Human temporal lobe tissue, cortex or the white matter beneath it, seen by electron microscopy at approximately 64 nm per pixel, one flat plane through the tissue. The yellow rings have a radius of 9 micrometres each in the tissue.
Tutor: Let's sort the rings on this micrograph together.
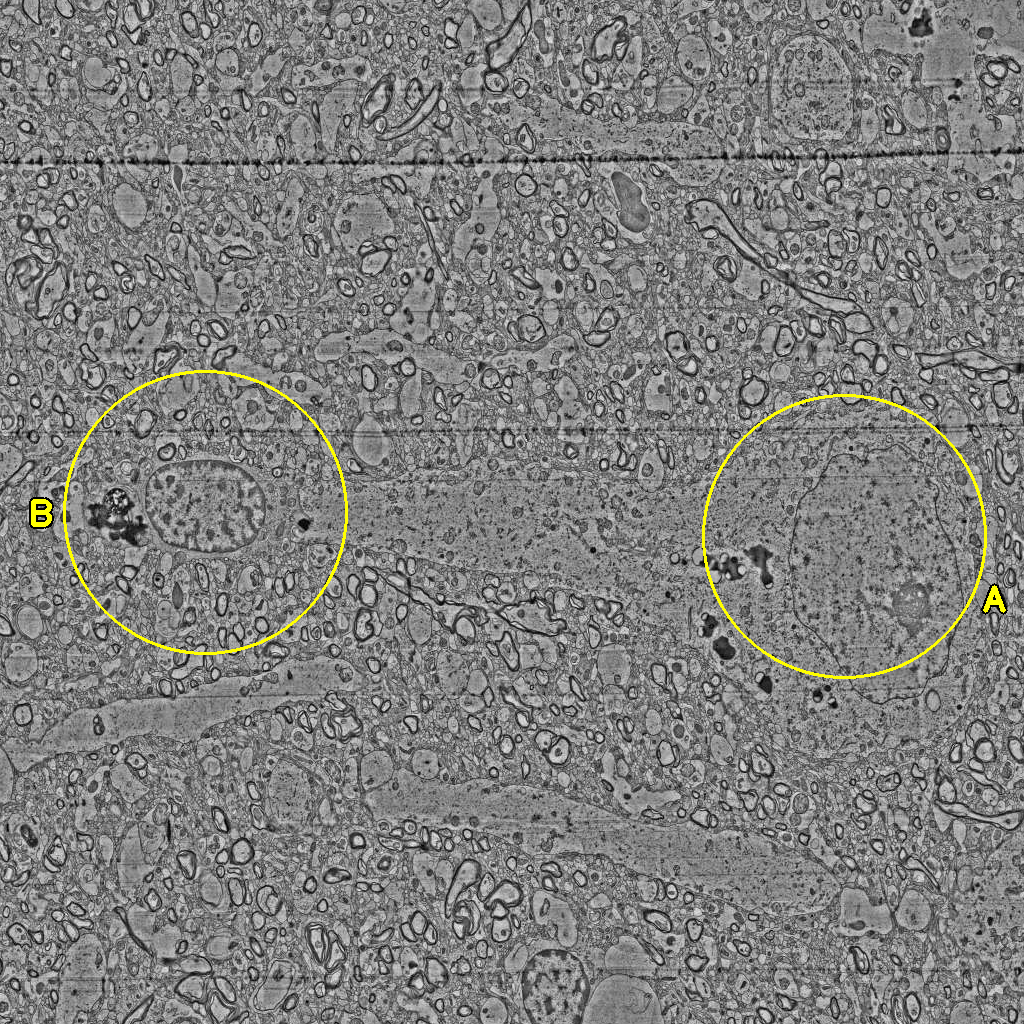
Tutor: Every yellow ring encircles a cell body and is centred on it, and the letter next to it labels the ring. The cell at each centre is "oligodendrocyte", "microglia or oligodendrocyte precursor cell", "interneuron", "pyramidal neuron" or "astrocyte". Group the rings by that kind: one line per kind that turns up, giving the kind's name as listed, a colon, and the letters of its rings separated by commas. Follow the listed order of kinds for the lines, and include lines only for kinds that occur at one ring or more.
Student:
oligodendrocyte: B
pyramidal neuron: A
